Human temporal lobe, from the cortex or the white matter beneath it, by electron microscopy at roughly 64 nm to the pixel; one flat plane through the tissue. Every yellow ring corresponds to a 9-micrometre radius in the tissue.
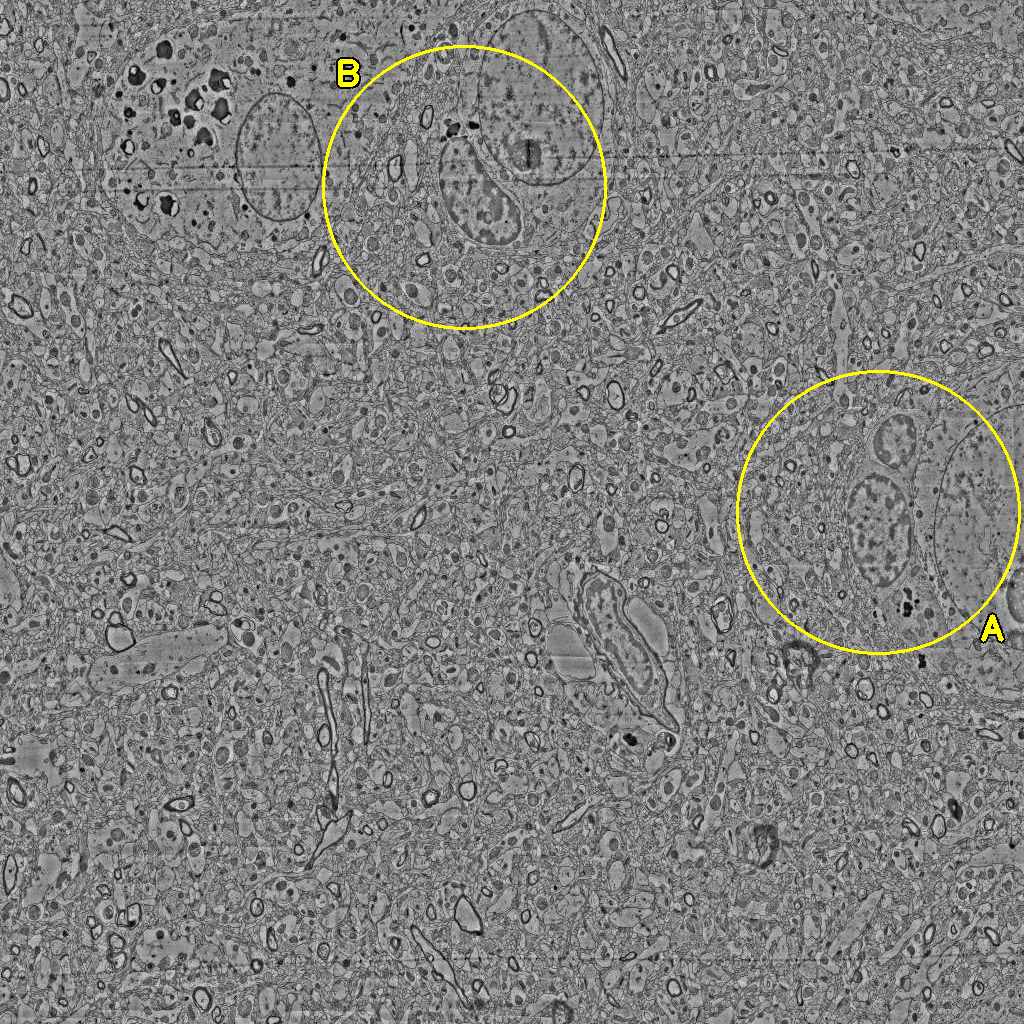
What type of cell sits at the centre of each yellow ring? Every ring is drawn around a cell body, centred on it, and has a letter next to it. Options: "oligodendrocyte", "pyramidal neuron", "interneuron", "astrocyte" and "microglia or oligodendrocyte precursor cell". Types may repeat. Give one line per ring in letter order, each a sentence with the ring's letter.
Ring A has an oligodendrocyte at its centre.
Ring B has a microglial cell or oligodendrocyte precursor cell at its centre.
